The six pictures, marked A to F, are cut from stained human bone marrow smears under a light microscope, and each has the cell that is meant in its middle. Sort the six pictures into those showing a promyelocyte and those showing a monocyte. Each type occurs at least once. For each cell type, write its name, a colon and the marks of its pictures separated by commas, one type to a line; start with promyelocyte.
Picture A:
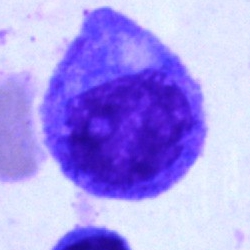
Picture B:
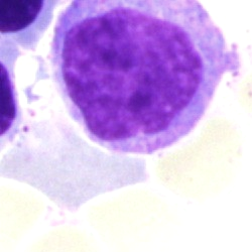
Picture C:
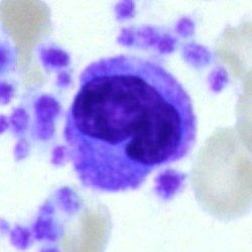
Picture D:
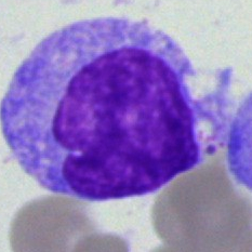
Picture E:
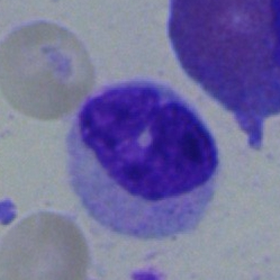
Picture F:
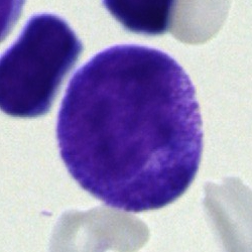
promyelocyte: A, F
monocyte: B, C, D, E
